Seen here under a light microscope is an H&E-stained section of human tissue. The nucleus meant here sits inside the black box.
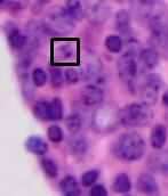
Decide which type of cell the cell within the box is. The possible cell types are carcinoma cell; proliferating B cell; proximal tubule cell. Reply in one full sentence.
Labelled by cell type, the cell within the box is a proliferating B cell.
